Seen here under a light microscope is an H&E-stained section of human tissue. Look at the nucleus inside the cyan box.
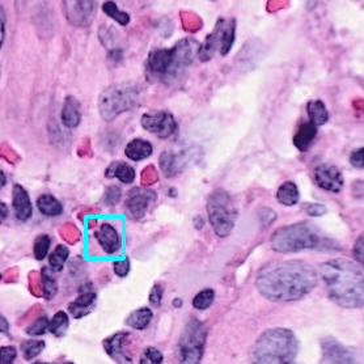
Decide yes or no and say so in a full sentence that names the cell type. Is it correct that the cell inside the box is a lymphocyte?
Yes, the cell inside the box is properly regarded as a lymphocyte.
